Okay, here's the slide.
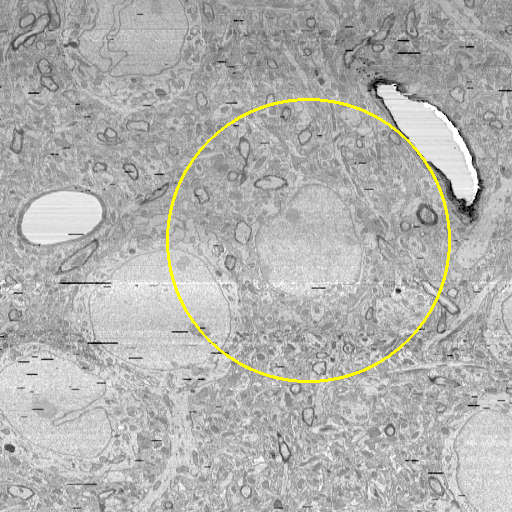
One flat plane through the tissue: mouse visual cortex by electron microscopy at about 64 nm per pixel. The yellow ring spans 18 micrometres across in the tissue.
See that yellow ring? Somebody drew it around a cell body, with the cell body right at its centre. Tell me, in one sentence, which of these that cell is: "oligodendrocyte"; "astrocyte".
The cell in the middle of the ring is an astrocyte.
